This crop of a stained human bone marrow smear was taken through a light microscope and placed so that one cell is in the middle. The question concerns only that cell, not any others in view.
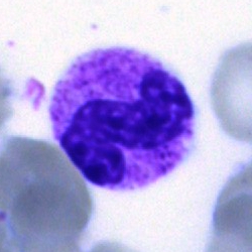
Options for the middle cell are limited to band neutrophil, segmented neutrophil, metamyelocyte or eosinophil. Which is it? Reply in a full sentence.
In the central position of this crop, the cell is a band neutrophil.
